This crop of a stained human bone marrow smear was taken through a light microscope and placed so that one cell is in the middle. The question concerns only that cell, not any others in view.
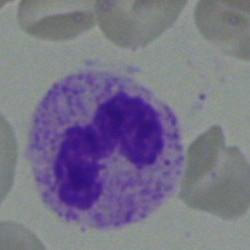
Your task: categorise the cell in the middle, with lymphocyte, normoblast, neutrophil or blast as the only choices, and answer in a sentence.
At the center of the crop sits a neutrophil.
